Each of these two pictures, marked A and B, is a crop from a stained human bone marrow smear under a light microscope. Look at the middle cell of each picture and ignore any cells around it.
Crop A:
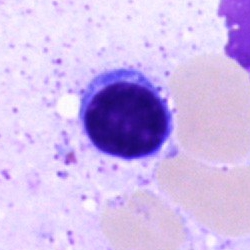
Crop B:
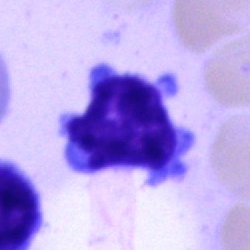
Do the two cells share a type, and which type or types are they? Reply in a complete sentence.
Yes, the centre of both crops is taken up by lymphocytes.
